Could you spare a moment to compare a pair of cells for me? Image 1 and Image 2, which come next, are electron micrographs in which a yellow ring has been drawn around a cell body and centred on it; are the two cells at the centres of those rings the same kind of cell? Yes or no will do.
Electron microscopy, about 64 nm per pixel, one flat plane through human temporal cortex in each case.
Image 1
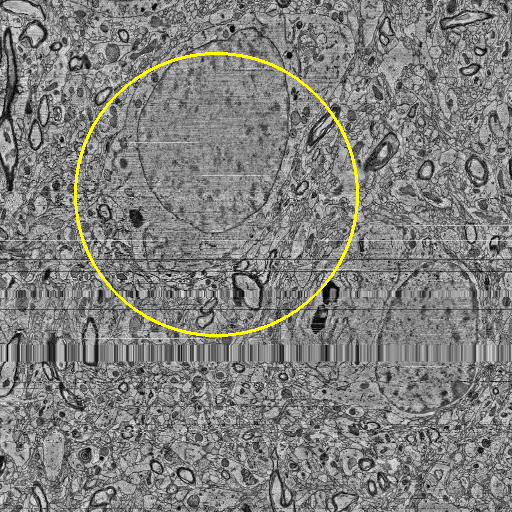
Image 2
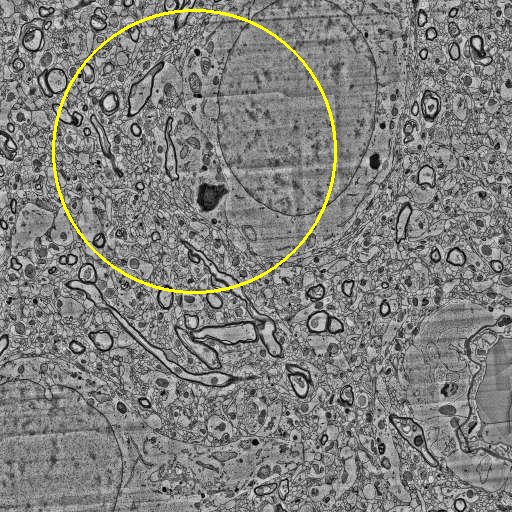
no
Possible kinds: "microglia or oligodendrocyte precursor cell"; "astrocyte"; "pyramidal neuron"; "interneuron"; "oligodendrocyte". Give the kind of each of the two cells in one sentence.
The cell in the second picture is an oligodendrocyte, and that in the first is a pyramidal neuron.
